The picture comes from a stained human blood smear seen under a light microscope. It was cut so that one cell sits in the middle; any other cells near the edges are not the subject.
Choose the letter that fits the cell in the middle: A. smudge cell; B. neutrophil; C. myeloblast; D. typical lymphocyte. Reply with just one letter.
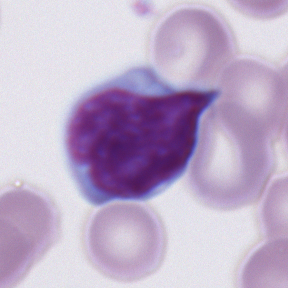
D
